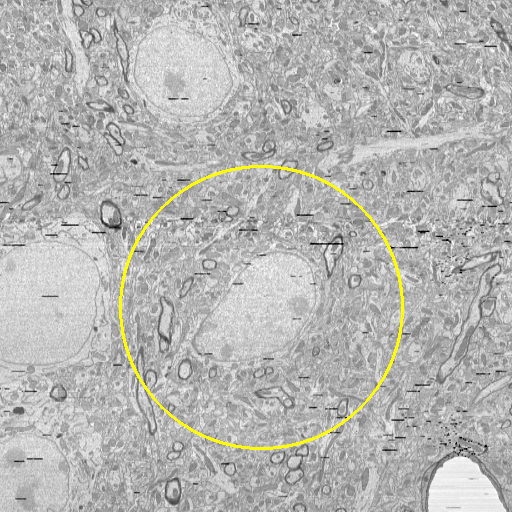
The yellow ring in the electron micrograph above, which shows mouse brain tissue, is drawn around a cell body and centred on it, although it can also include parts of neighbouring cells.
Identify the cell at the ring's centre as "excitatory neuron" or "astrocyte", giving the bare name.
astrocyte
